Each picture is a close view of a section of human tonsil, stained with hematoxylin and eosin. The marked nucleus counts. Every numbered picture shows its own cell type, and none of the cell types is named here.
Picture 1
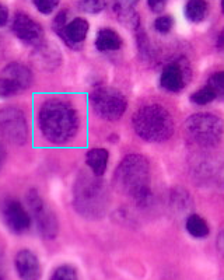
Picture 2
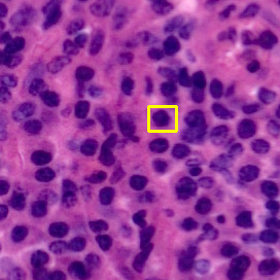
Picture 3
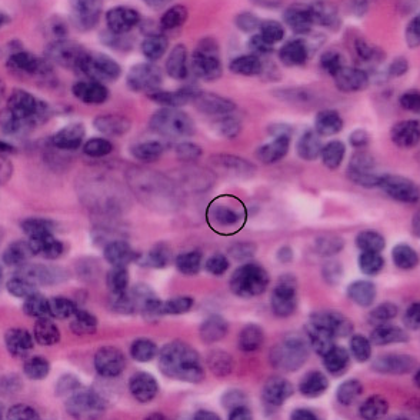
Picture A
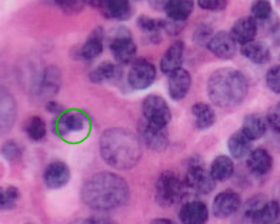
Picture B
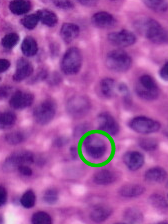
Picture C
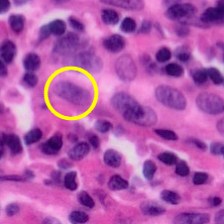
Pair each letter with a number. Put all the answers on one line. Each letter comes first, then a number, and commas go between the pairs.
A 3, B 1, C 3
